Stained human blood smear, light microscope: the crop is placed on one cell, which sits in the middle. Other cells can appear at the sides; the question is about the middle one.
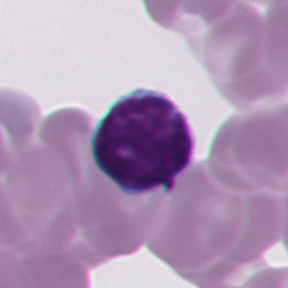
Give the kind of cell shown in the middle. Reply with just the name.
lymphocyte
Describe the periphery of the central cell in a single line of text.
The border of the cell is irregular, being either ragged or extended into projections.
